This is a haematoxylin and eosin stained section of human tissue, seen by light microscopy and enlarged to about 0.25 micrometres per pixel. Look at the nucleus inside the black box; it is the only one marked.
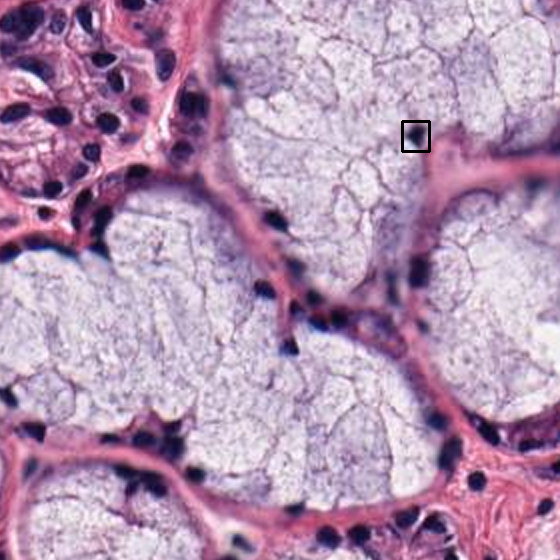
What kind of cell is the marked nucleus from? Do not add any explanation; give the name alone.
mucous gland cell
